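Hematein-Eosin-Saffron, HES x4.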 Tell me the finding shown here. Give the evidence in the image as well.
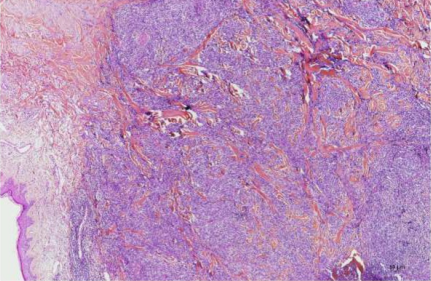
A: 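Nodular and diffuse lymphoid dermal infiltrate. Epidermis runs along one edge of the section. Dense sheets of small dark-staining cells fill most of the dermis.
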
